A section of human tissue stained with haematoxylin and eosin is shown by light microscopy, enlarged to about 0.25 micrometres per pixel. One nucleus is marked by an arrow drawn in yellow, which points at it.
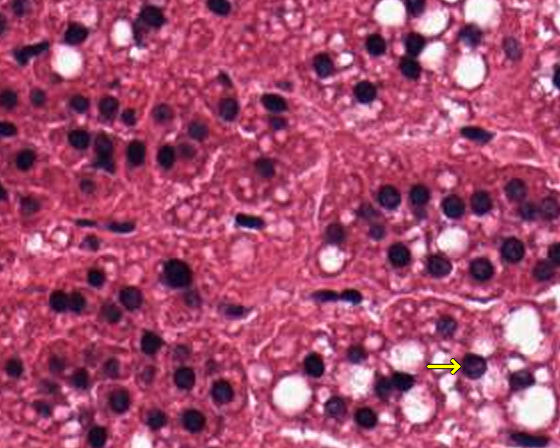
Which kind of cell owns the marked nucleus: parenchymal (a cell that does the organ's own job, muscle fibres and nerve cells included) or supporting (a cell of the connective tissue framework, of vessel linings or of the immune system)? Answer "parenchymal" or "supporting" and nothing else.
parenchymal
